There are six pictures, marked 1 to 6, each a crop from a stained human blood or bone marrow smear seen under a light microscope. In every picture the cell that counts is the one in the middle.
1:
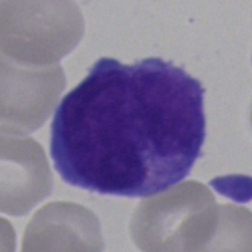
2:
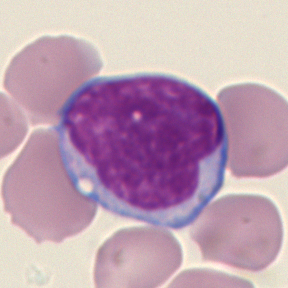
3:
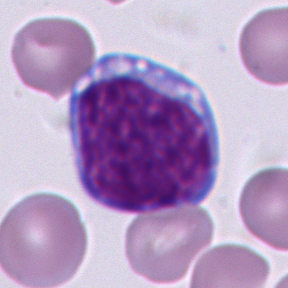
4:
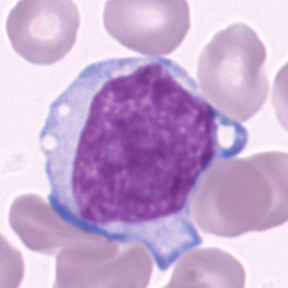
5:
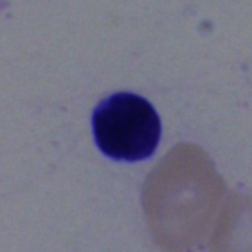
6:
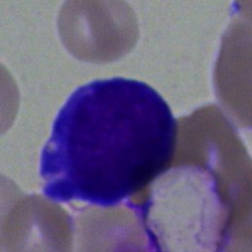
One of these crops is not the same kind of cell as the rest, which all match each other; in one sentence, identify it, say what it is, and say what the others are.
Crop 5 is the exception here: it is a lymphocyte, and the others are blasts.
